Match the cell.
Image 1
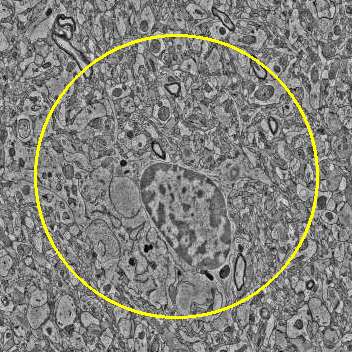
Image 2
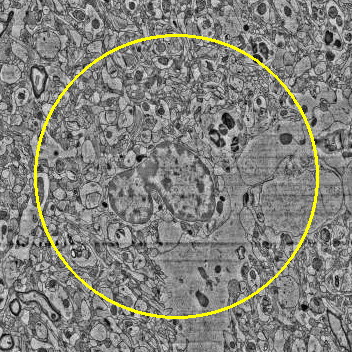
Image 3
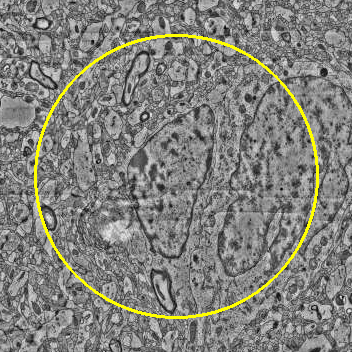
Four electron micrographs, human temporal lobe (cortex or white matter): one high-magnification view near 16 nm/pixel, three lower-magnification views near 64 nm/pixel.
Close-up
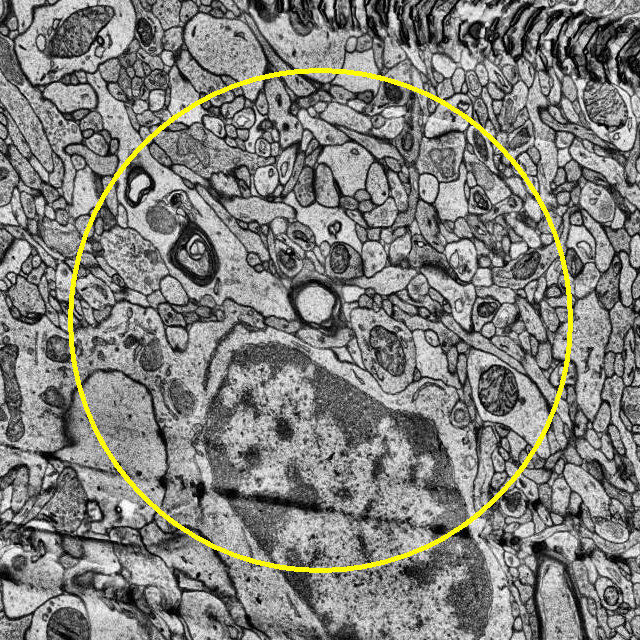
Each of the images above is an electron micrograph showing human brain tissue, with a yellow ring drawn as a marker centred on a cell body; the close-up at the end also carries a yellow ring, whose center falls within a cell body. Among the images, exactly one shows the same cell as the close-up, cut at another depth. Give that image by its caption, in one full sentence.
The close-up singles out the cell ringed in Image 1.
